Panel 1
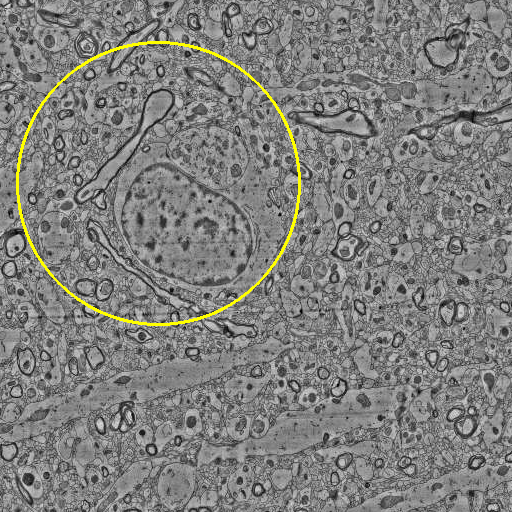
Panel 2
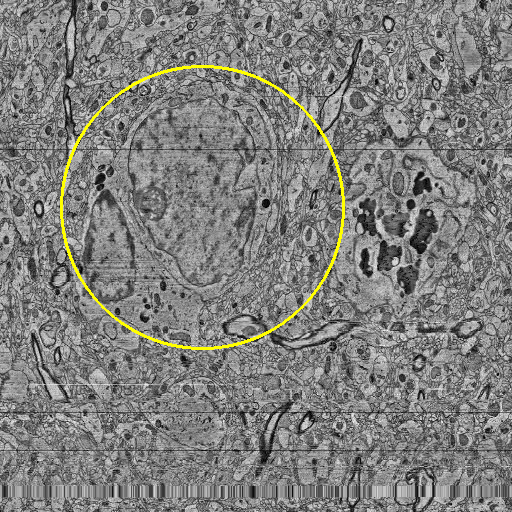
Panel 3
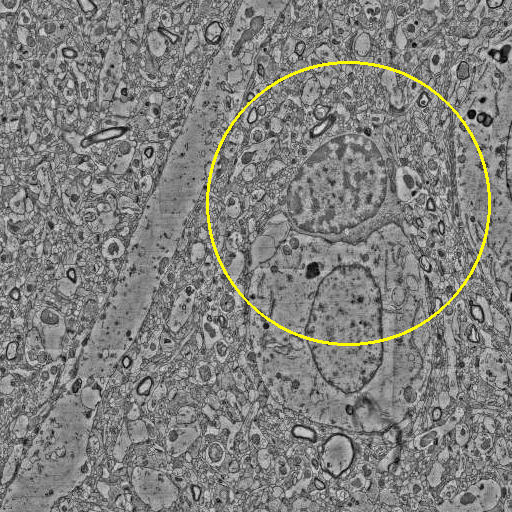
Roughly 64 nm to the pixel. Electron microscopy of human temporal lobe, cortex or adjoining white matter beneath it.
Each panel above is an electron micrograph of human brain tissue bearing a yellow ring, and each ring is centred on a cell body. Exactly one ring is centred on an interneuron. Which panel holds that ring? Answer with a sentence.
That ring is in Panel 2.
